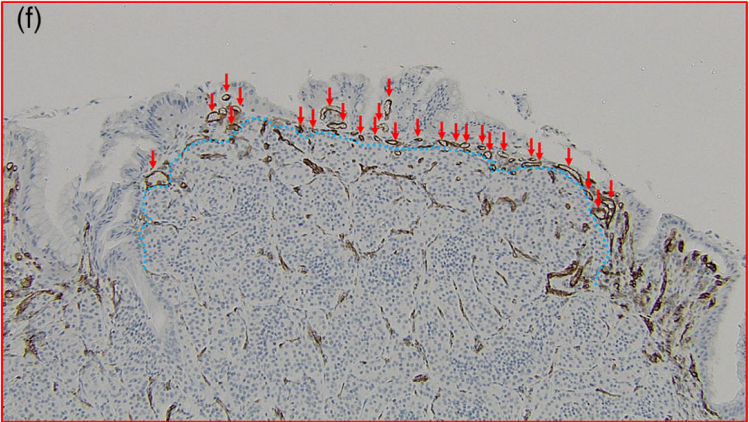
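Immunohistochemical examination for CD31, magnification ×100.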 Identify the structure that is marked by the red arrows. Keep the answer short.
Dilated subepithelial capillaries.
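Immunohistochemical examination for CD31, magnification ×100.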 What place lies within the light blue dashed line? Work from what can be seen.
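The dashed line follows the upper border of a mass of unstained, blue-nucleated cells arranged in nests. Brown-stained vessels lie along the line, between the mass and the surface epithelium.
Answer: tumor surface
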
